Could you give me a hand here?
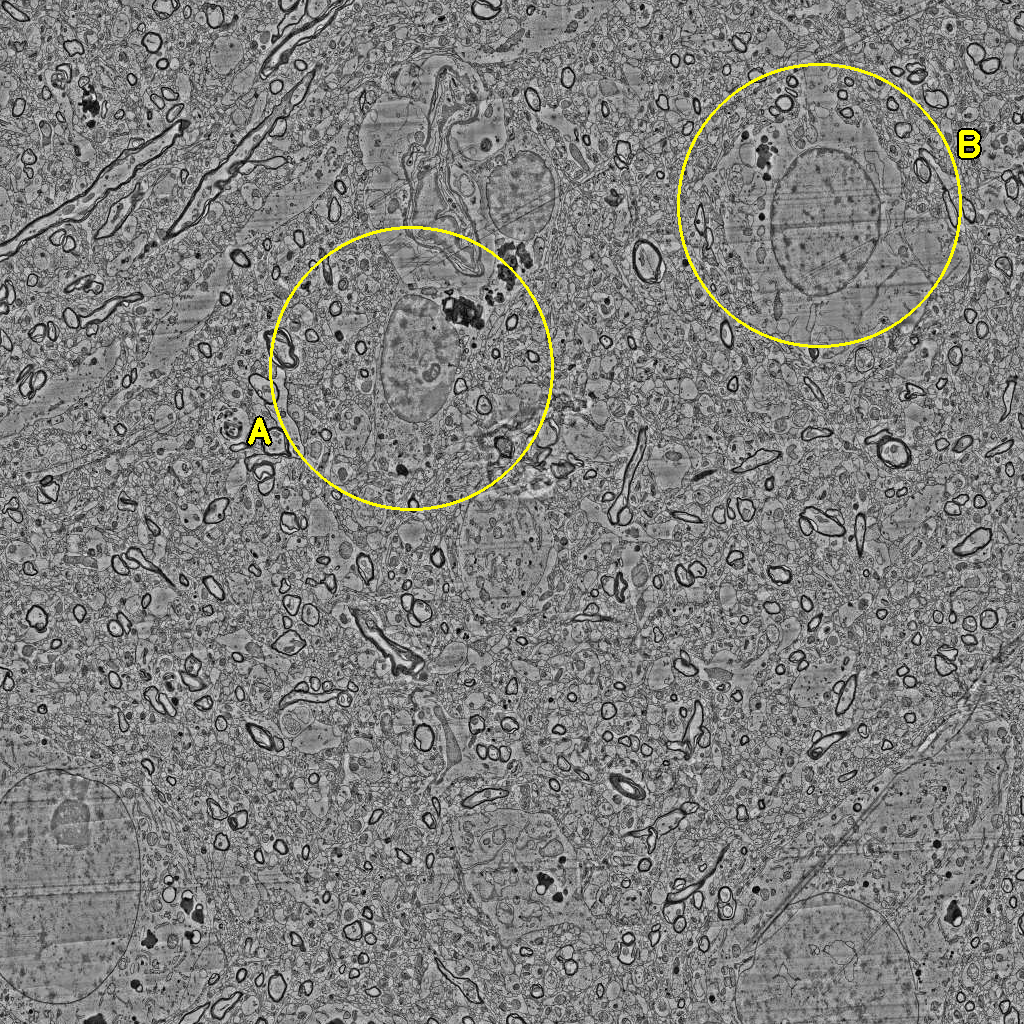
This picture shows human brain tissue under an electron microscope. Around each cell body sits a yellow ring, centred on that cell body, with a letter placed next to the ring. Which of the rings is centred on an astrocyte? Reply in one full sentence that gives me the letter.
The cell asked for sits at the centre of ring B in the picture.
